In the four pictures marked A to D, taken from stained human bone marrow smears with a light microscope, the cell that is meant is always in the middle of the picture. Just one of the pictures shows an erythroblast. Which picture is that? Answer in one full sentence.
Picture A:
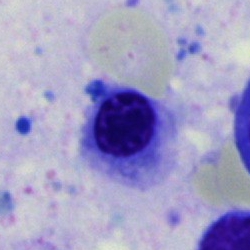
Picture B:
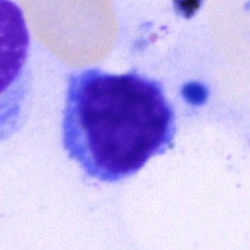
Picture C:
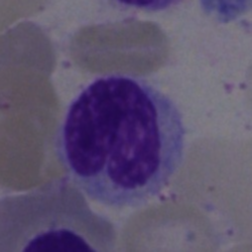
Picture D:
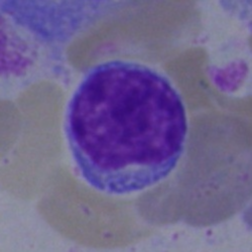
Picture A shows the erythroblast.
